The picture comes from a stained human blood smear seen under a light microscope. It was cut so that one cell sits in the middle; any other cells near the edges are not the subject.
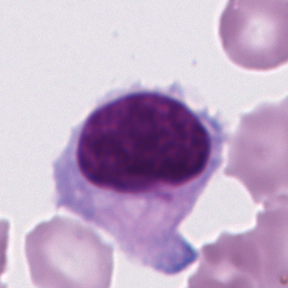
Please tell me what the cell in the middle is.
hairy cell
